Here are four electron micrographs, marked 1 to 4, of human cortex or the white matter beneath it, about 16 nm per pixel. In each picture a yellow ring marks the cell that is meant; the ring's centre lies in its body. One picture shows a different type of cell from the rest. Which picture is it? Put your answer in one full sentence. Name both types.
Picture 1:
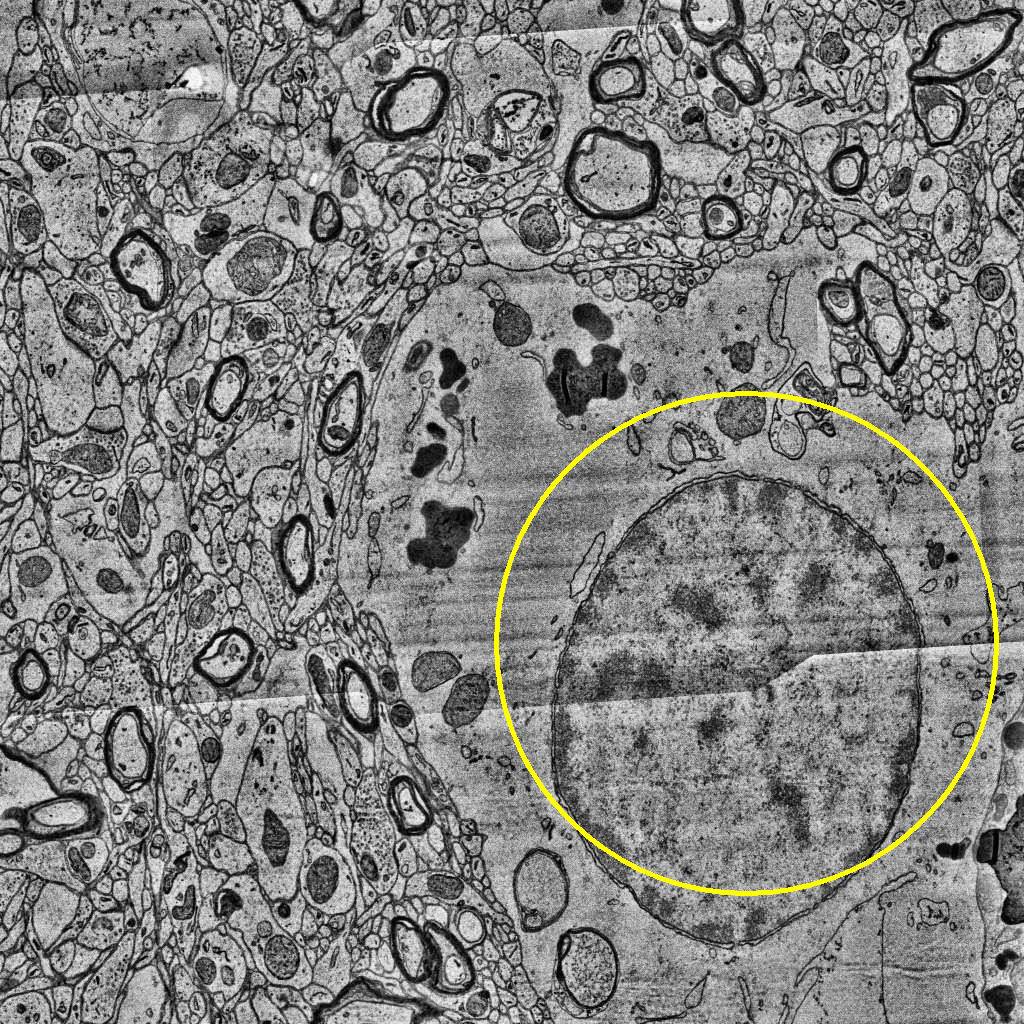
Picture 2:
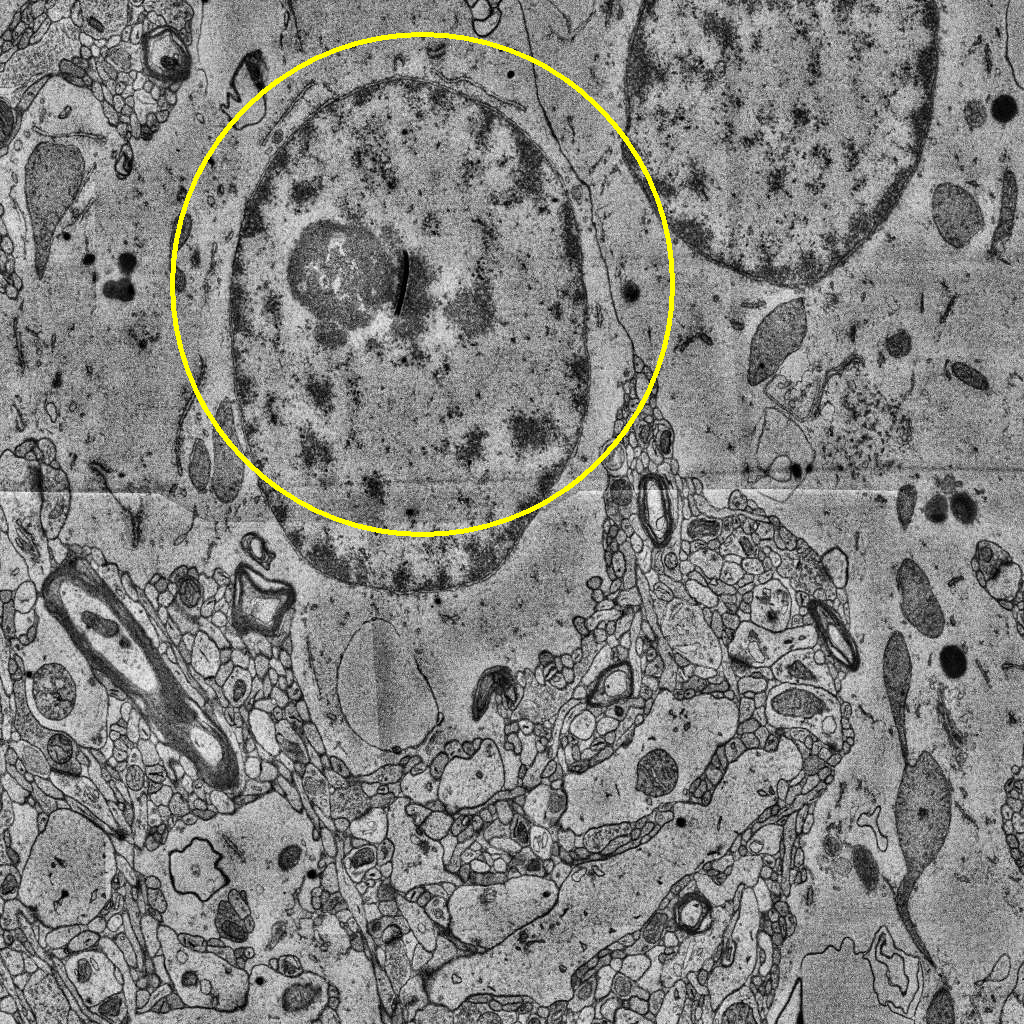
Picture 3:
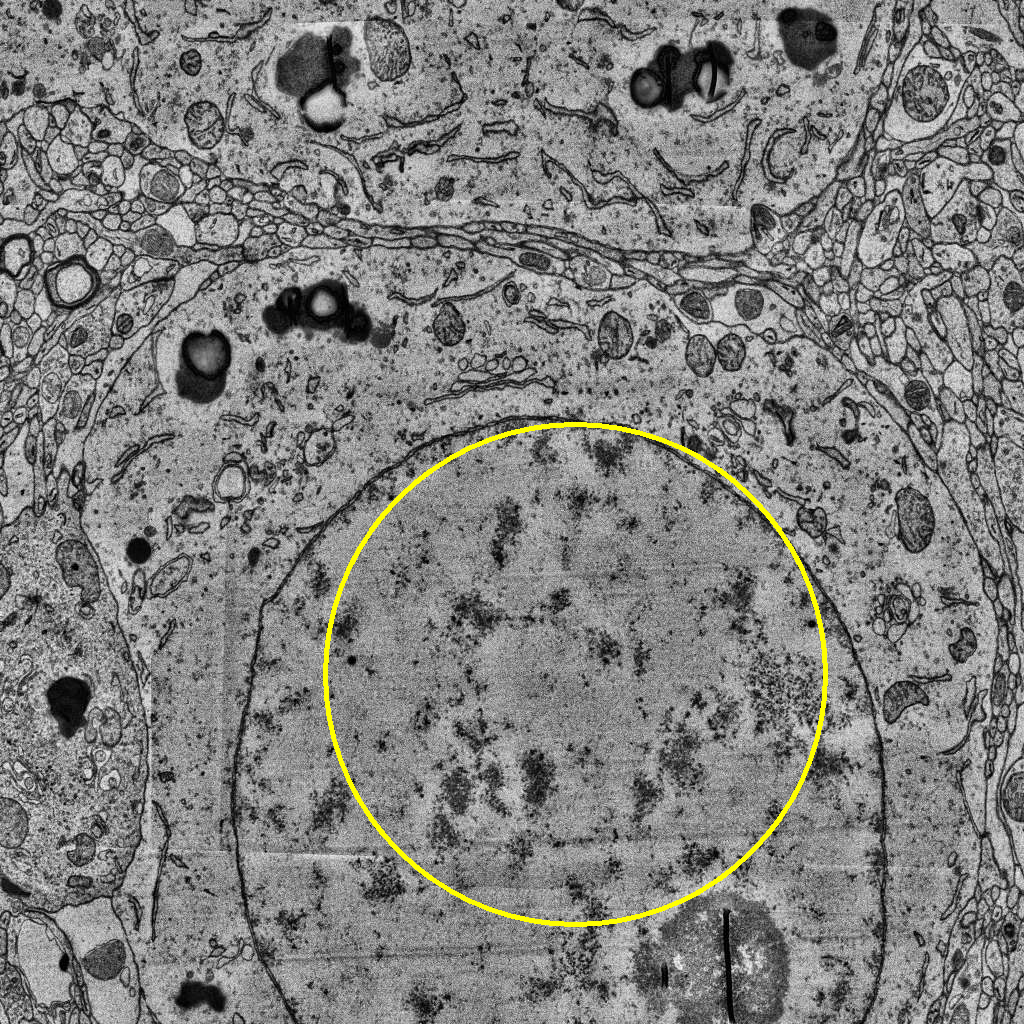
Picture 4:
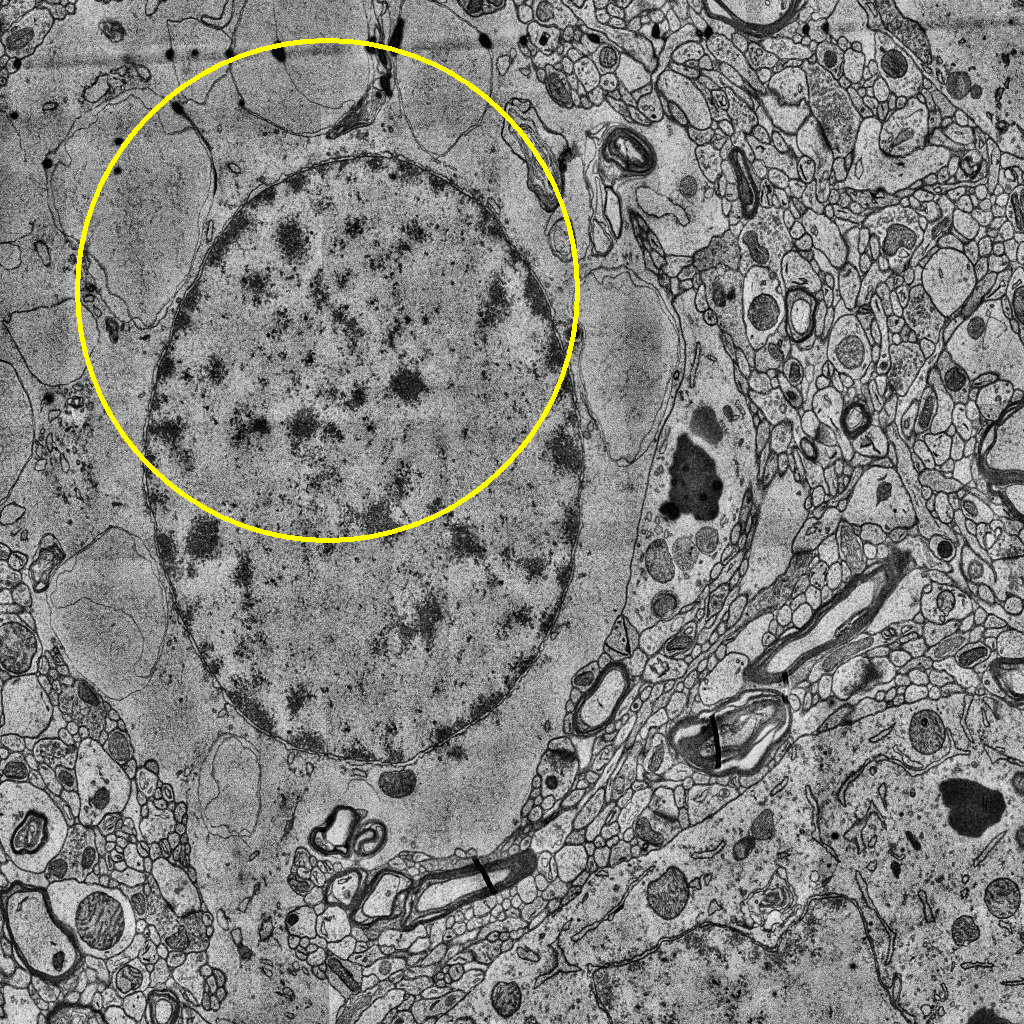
Picture 3 is the odd one out: it shows a pyramidal neuron, while the others show astrocytes.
